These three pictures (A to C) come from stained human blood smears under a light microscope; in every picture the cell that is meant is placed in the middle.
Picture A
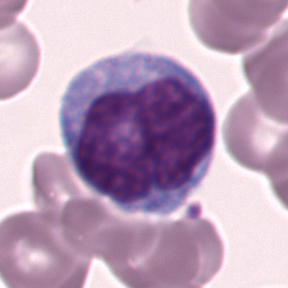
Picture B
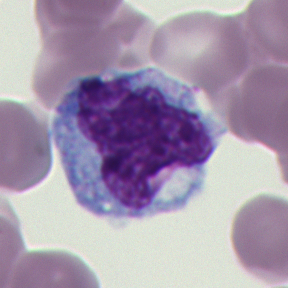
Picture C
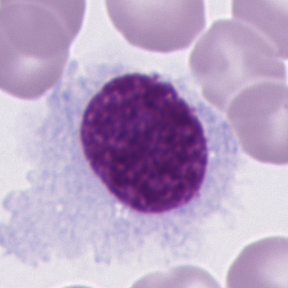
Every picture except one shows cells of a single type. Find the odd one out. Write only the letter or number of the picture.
C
